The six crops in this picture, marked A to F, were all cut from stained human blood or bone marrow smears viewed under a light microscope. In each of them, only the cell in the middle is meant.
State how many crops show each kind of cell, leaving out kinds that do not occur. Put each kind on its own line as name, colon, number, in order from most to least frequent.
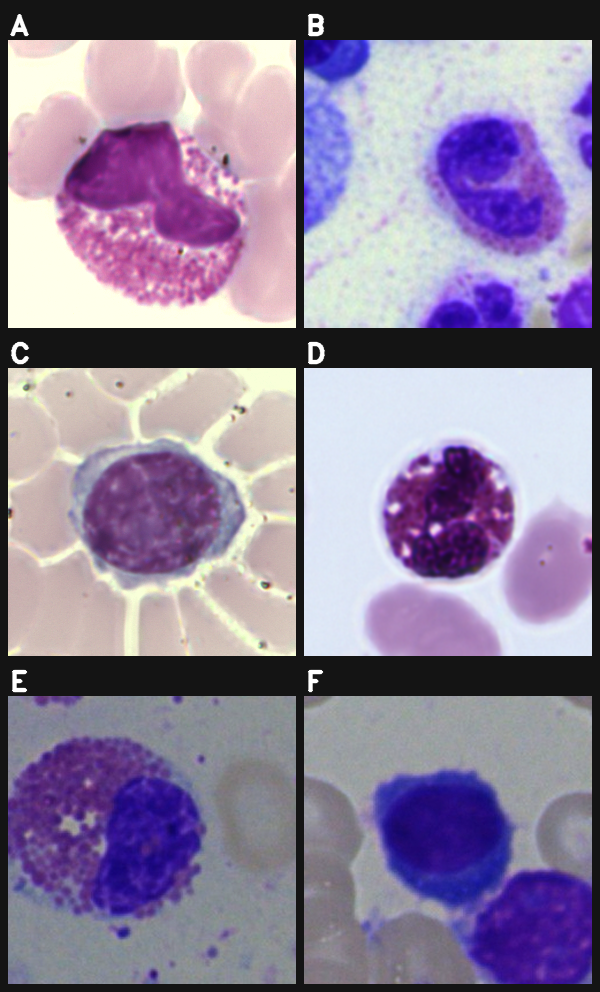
eosinophil: 4
plasma cell: 2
